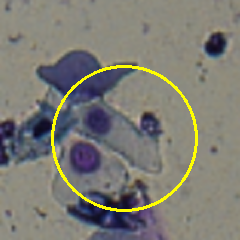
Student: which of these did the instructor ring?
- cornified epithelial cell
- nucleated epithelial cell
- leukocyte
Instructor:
The cell I ringed is a nucleated epithelial cell.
